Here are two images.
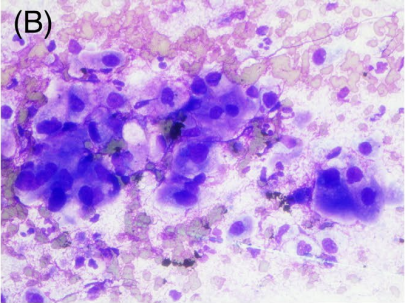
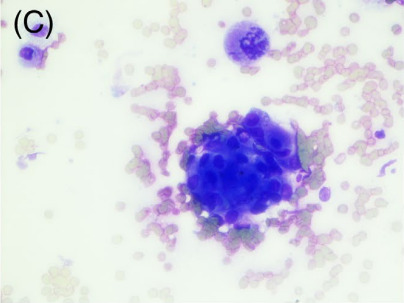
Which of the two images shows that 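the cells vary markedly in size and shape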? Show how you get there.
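Second image: a single compact cluster of cells with nuclei of similar size.
Conclusion: the first image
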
